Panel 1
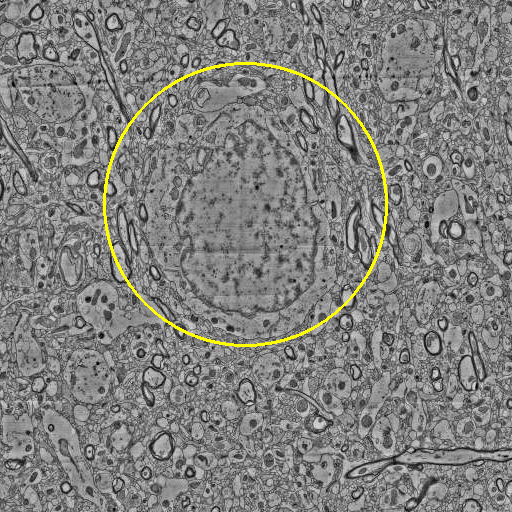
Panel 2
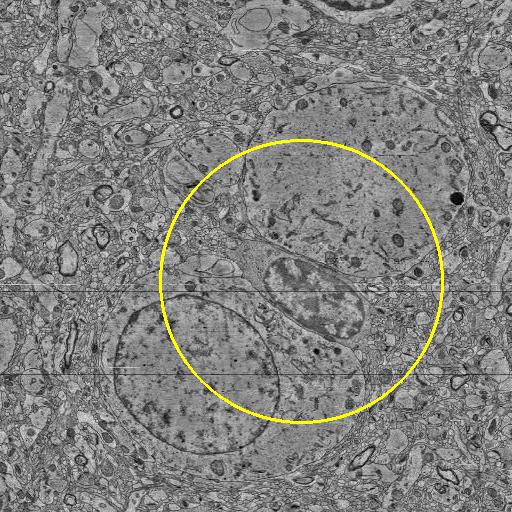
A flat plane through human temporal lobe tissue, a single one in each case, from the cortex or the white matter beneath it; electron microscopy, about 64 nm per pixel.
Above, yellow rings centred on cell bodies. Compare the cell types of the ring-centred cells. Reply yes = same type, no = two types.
no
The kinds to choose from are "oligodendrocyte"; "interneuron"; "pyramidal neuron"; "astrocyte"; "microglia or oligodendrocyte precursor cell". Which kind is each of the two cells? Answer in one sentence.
Of the two, the first cell is an interneuron and the second cell is an oligodendrocyte.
